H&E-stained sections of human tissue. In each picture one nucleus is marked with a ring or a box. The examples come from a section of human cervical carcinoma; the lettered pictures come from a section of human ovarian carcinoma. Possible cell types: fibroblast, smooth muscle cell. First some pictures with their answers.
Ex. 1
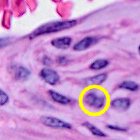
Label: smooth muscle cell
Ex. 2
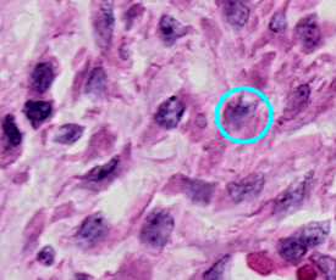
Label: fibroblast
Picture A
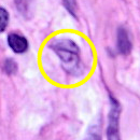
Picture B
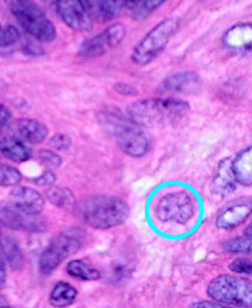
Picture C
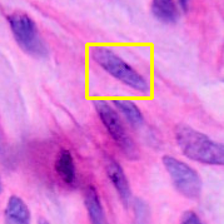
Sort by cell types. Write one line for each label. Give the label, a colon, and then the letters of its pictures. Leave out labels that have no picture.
fibroblast: A, B
smooth muscle cell: C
